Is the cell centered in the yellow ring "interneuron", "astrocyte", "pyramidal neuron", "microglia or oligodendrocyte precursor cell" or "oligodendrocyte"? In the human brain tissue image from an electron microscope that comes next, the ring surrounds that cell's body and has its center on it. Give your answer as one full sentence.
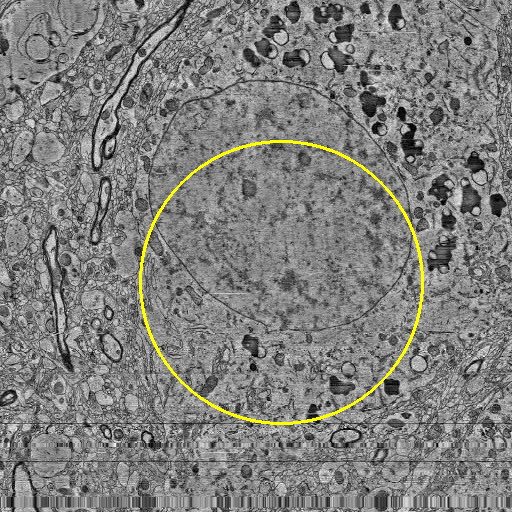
The cell at the center of the yellow ring is a pyramidal neuron in the micrograph.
